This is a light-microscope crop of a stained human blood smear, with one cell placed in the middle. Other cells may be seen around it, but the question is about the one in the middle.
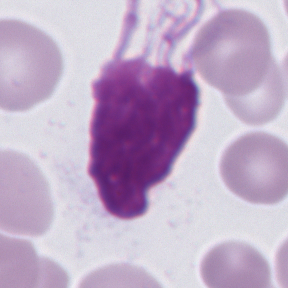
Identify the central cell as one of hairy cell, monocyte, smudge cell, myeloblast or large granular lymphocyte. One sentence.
The middle cell in this particular crop is a smudge cell.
